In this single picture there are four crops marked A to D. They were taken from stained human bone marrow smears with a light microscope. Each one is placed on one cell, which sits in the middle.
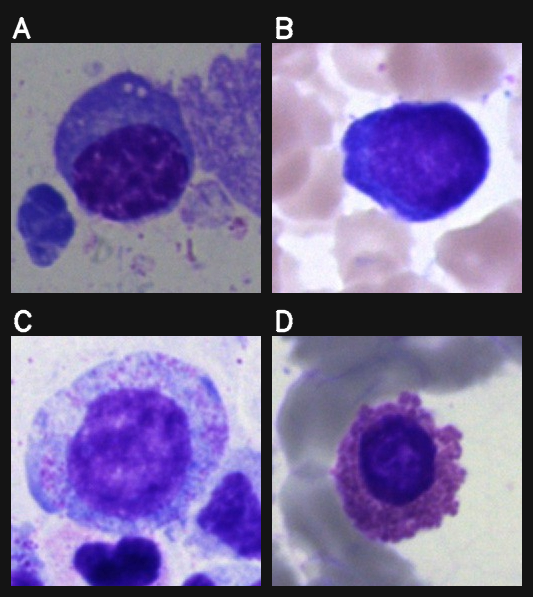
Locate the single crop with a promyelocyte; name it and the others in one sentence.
In crop C there is a promyelocyte, while crop A is a plasma cell, crop B is a proerythroblast and crop D is an eosinophil.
